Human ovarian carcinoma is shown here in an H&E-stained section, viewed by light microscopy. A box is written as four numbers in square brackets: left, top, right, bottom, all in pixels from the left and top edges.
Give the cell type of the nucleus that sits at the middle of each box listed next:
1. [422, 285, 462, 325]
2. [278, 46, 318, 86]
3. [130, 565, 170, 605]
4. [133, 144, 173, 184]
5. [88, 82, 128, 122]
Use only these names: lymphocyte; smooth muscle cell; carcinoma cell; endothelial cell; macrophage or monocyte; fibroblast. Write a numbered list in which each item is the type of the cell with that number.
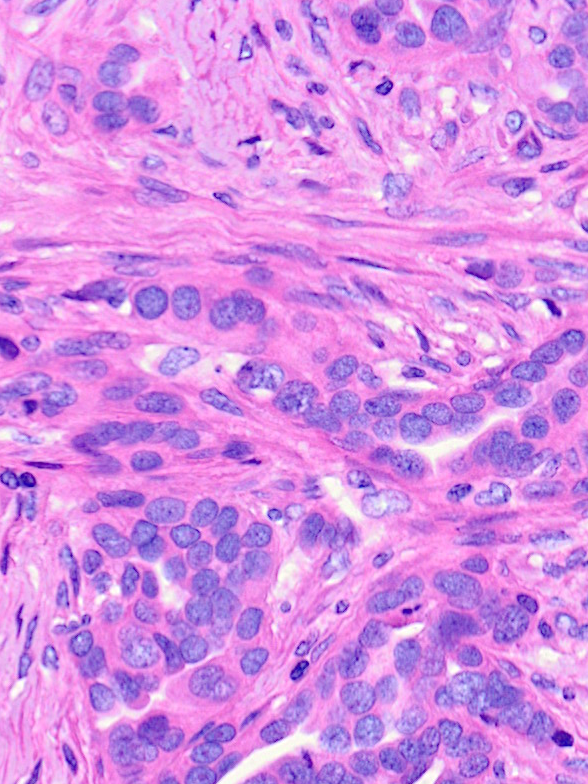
1. fibroblast
2. fibroblast
3. carcinoma cell
4. fibroblast
5. carcinoma cell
